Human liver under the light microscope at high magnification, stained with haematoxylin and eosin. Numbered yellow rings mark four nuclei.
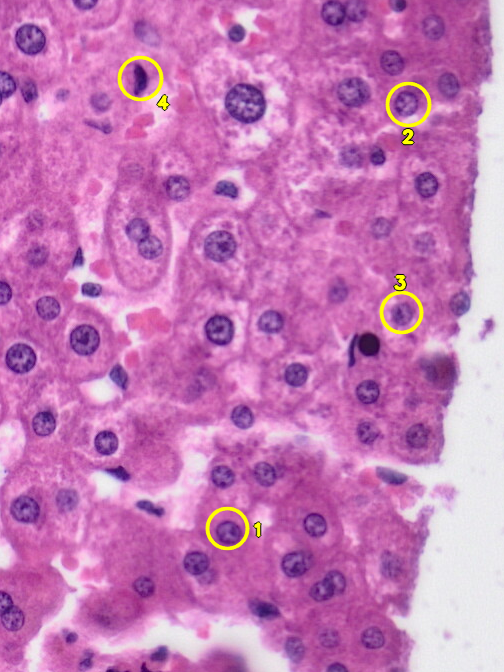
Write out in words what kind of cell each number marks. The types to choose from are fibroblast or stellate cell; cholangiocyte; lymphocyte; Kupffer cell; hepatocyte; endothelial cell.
Cell 1 is a hepatocyte, cell 2 is a hepatocyte, cell 3 is a hepatocyte and cell 4 is a fibroblast or stellate cell.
